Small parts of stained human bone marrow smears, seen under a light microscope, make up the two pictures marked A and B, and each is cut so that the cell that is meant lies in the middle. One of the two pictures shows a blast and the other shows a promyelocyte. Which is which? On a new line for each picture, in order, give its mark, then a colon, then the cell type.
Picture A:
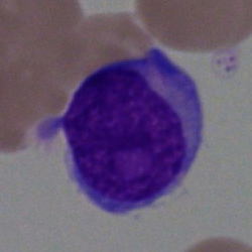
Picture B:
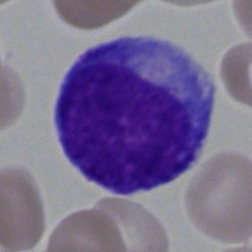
A: blast
B: promyelocyte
